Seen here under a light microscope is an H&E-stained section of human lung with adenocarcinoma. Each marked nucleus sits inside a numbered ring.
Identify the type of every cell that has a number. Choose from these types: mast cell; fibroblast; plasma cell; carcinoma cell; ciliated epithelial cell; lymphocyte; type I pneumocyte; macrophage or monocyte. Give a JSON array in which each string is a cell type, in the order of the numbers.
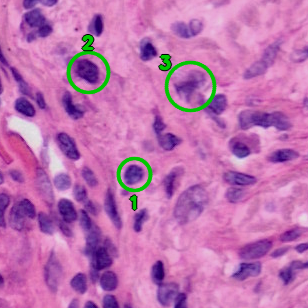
["lymphocyte", "plasma cell", "fibroblast"]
